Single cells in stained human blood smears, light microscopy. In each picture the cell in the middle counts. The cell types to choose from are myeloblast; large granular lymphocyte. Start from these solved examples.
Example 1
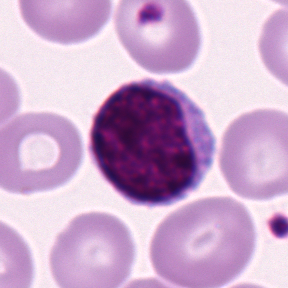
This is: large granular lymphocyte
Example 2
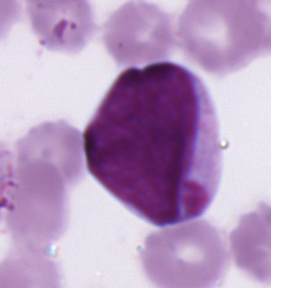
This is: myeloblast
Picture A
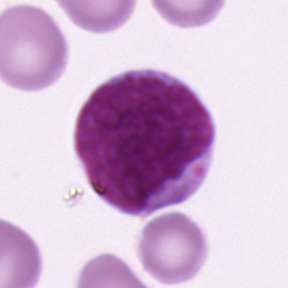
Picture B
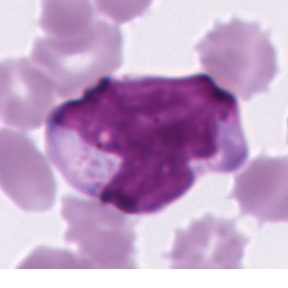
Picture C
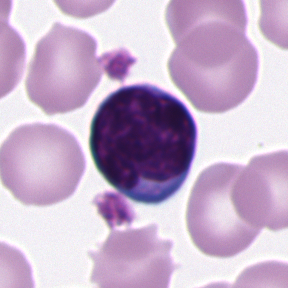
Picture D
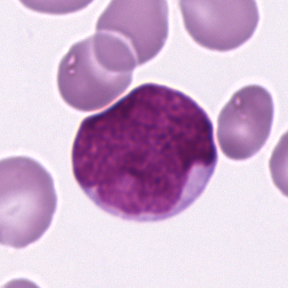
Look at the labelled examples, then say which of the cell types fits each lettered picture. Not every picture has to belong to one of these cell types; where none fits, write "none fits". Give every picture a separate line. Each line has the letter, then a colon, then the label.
A: myeloblast
B: large granular lymphocyte
C: none fits
D: myeloblast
